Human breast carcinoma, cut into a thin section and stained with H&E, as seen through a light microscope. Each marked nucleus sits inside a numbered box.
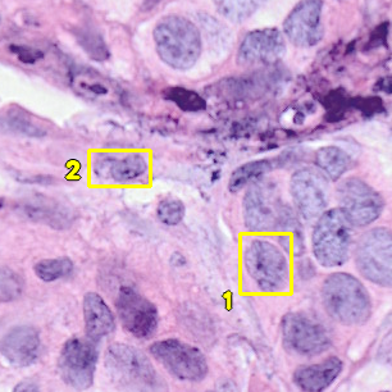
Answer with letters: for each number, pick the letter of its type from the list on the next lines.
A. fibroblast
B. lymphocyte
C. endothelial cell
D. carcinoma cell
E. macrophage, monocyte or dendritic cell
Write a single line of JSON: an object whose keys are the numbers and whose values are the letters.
{"1": "D", "2": "E"}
